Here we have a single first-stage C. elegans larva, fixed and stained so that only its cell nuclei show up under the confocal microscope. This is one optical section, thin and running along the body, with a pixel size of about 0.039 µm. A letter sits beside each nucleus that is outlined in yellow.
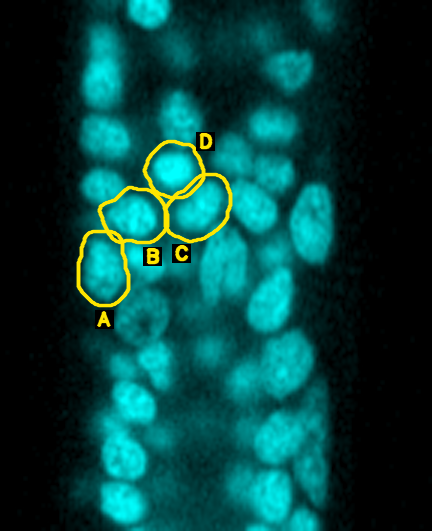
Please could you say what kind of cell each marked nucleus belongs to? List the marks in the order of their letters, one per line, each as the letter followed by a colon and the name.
A: body wall muscle cell
B: neuron
C: pharyngeal muscle cell
D: neuron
